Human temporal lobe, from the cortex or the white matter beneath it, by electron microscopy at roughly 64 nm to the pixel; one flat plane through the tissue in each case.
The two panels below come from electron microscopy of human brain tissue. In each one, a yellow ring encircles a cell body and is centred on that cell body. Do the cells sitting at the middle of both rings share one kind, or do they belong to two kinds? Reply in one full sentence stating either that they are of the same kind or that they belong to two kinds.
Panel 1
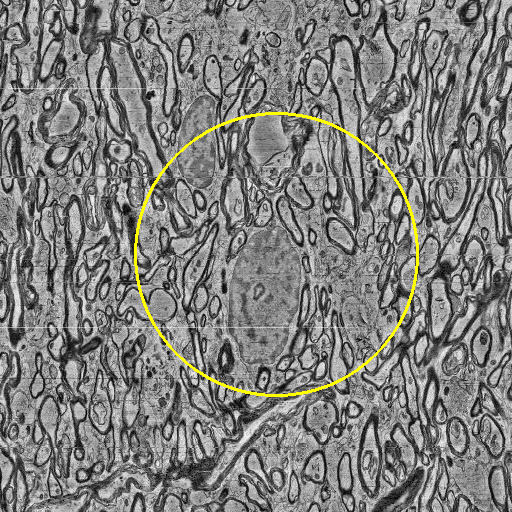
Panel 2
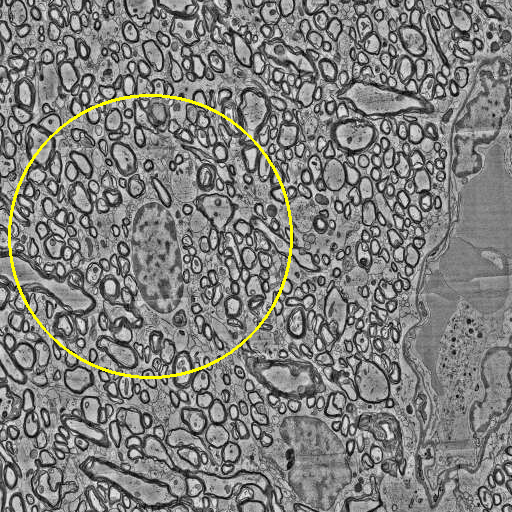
The cells at the centres of the two rings belong to two kinds.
